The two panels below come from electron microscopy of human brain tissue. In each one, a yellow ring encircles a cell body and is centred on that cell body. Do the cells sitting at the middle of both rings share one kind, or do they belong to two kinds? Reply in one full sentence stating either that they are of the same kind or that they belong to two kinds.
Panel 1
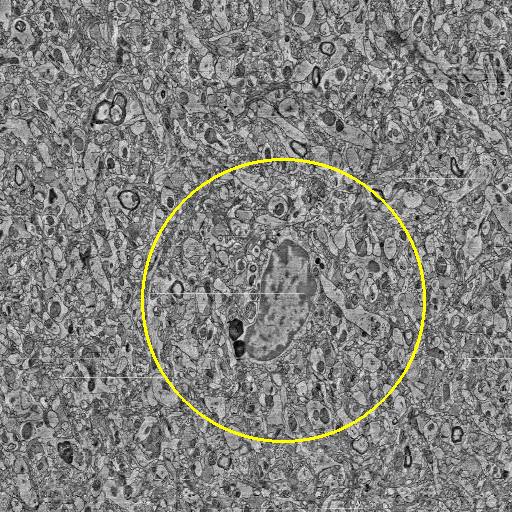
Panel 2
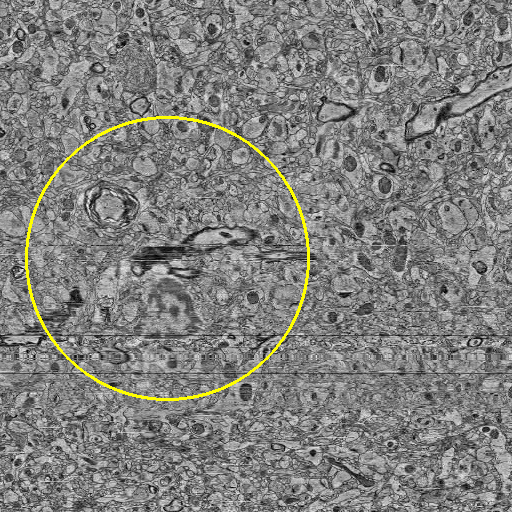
The cells at the centres of the two rings are of the same kind.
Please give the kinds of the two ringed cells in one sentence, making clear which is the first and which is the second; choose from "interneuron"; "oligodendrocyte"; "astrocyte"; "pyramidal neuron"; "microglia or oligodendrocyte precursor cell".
Each of the two rings is centred on a microglial cell or oligodendrocyte precursor cell.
